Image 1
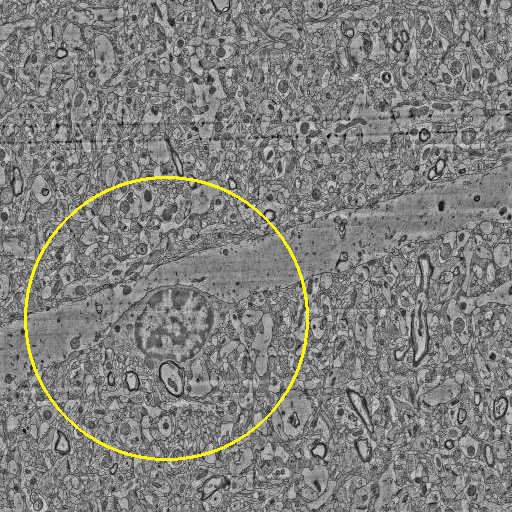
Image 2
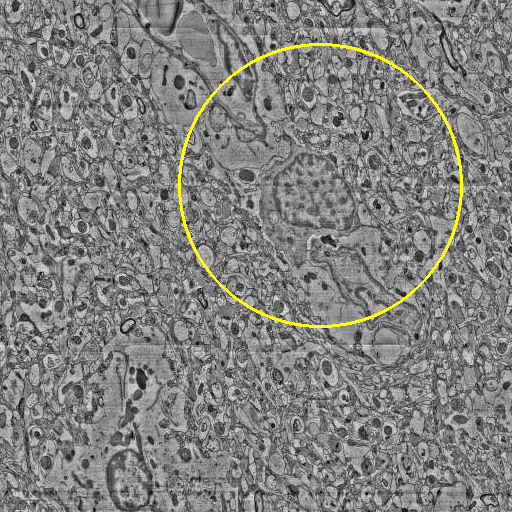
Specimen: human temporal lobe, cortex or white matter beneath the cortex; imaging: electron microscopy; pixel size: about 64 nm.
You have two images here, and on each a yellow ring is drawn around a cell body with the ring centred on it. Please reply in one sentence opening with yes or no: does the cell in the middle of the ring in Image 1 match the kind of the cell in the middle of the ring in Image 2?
Yes, the two images show cells of one kind at the centres of their rings.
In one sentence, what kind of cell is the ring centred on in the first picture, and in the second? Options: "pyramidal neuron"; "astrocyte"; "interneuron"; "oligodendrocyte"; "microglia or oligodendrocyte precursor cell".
Each of the two rings is centred on an oligodendrocyte.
